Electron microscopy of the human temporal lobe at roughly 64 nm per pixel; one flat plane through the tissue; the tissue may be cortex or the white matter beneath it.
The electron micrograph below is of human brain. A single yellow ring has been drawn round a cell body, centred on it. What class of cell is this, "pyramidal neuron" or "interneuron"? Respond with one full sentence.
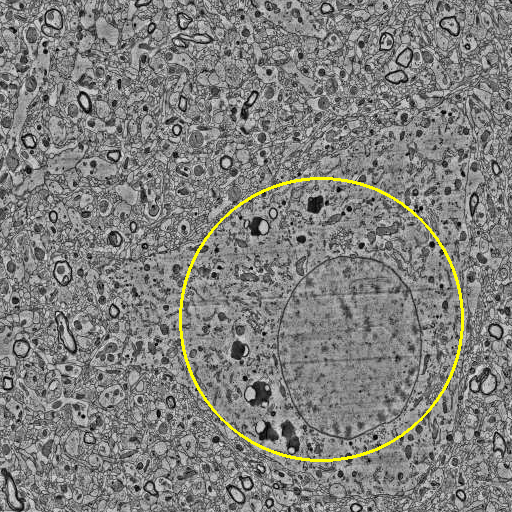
In the micrograph, the cell centred inside the yellow ring is a pyramidal neuron.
